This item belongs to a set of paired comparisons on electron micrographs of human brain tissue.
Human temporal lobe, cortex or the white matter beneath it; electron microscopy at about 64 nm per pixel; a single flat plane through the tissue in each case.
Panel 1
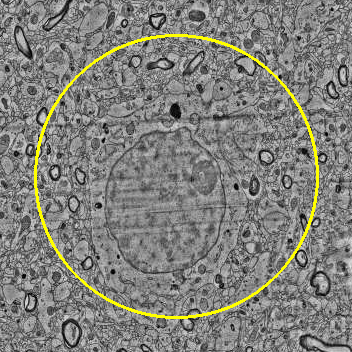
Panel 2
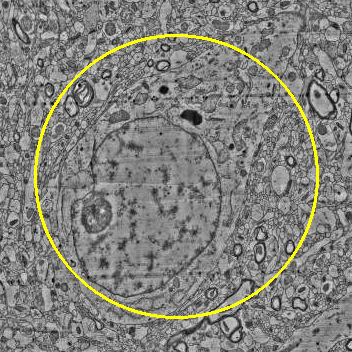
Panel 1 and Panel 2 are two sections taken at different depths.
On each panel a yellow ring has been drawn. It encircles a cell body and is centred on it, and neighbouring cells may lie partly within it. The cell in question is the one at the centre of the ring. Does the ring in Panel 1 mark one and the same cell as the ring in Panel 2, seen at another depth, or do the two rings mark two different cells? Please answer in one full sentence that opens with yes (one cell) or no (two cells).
No, these yellow rings each mark a separate cell.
